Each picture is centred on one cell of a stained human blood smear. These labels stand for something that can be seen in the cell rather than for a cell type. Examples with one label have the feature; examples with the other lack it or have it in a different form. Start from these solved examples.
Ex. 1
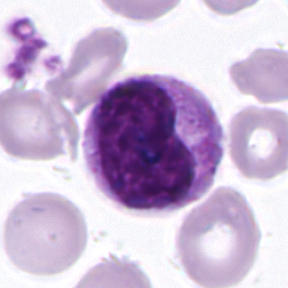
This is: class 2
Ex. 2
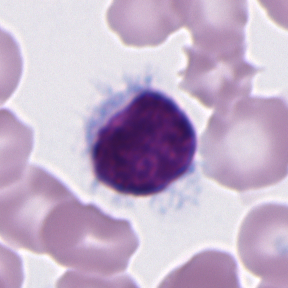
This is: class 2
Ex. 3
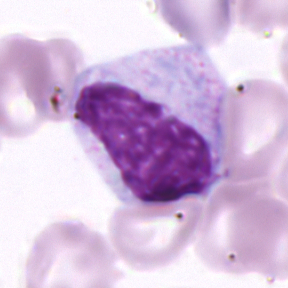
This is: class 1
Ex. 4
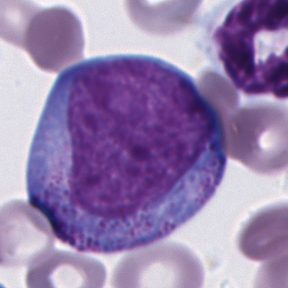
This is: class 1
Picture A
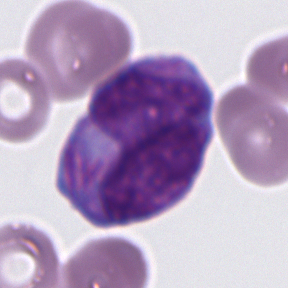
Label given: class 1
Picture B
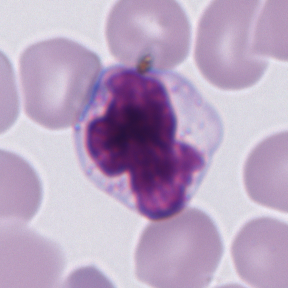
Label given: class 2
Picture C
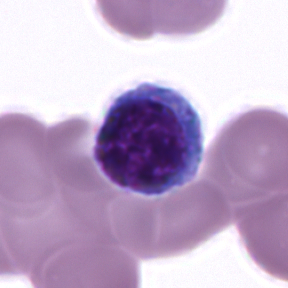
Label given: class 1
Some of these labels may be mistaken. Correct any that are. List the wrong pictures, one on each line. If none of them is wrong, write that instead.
A should be class 2, not class 1
C should be class 2, not class 1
